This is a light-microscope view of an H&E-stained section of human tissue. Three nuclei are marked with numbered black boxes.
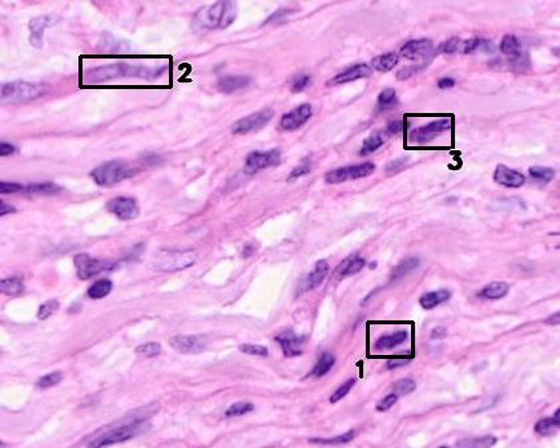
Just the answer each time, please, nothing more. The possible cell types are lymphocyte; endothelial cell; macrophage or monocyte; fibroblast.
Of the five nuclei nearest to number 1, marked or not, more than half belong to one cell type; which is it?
macrophage or monocyte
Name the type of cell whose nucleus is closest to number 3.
lymphocyte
